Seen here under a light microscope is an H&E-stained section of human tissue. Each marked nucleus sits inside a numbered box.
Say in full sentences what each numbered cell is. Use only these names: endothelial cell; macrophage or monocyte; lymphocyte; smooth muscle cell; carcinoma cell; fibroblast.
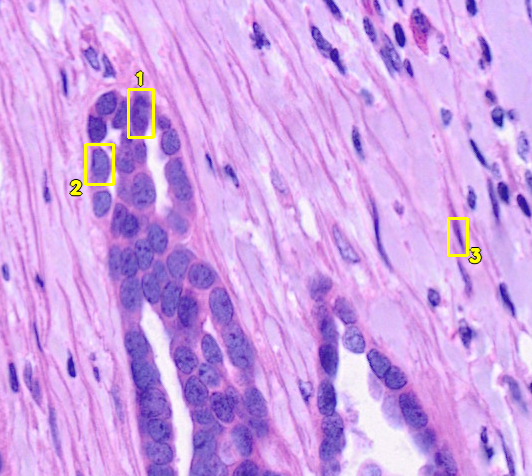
Cell 1 is a carcinoma cell, cell 2 is a carcinoma cell and cell 3 is a fibroblast.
